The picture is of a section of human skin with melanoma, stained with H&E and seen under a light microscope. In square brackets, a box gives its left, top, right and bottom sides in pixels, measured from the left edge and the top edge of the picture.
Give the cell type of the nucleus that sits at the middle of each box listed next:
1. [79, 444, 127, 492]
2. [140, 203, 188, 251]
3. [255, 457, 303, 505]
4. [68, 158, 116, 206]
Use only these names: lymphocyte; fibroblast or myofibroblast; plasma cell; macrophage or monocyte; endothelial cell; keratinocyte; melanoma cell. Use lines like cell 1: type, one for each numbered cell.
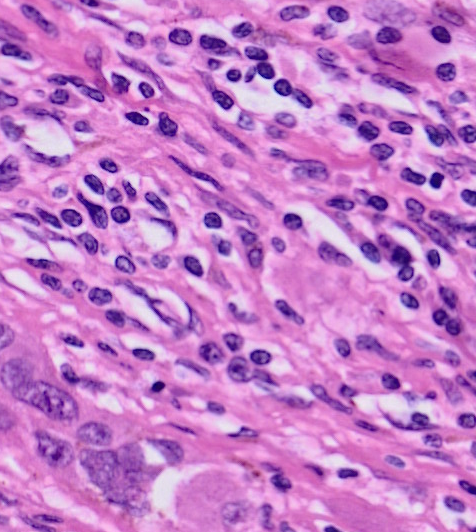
cell 1: melanoma cell
cell 2: fibroblast or myofibroblast
cell 3: lymphocyte
cell 4: lymphocyte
